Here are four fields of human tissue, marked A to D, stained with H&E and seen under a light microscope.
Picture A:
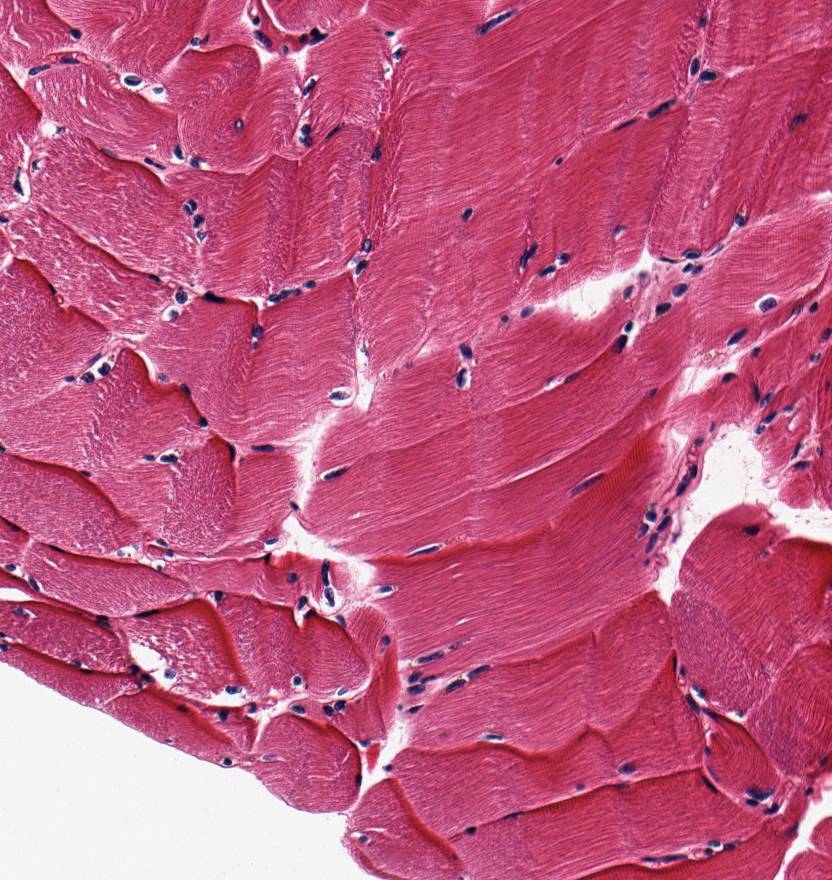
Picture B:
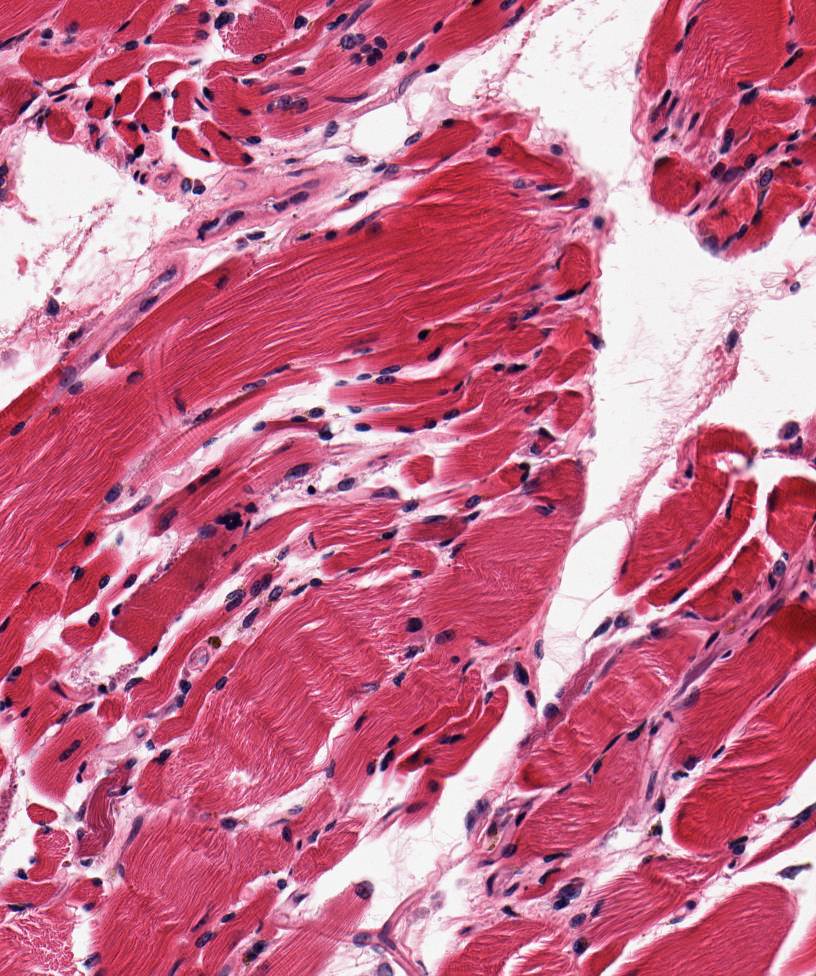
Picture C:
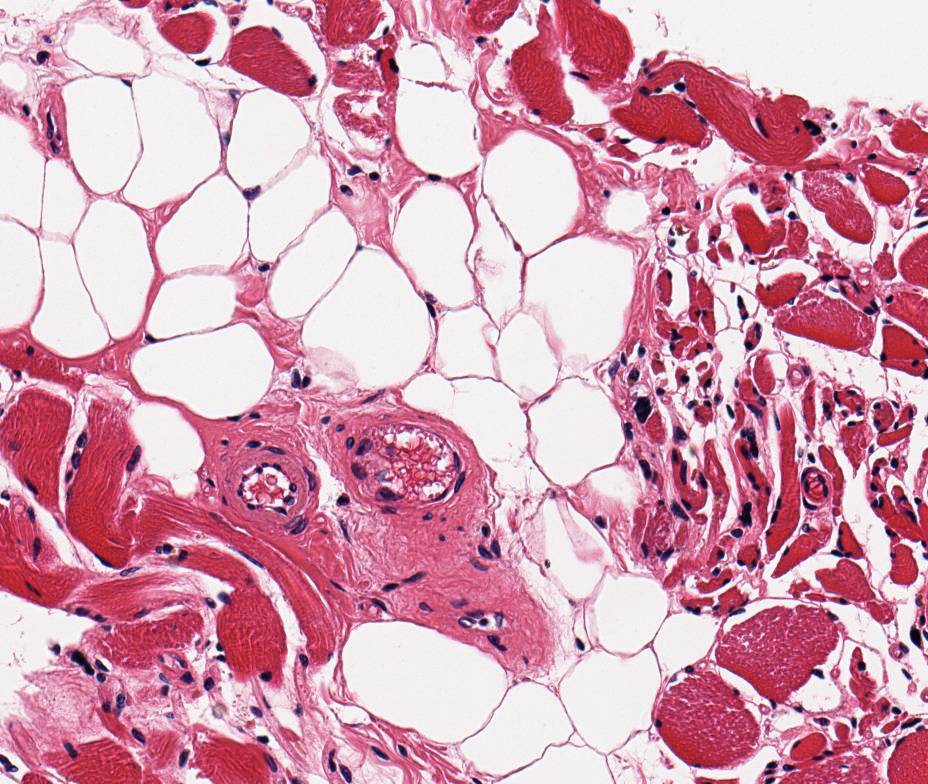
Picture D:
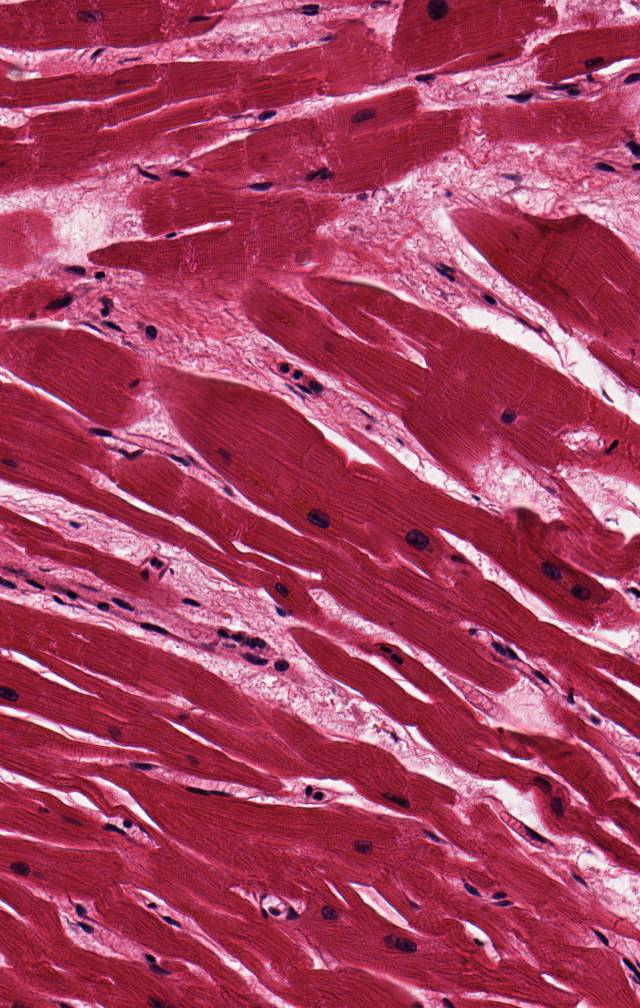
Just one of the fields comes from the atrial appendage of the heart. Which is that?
D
